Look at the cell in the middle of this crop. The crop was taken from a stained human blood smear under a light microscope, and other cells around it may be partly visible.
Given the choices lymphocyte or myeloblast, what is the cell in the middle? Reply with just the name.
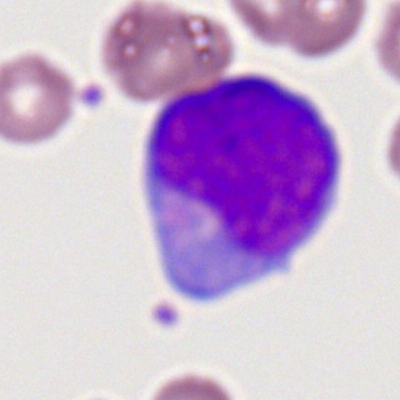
myeloblast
